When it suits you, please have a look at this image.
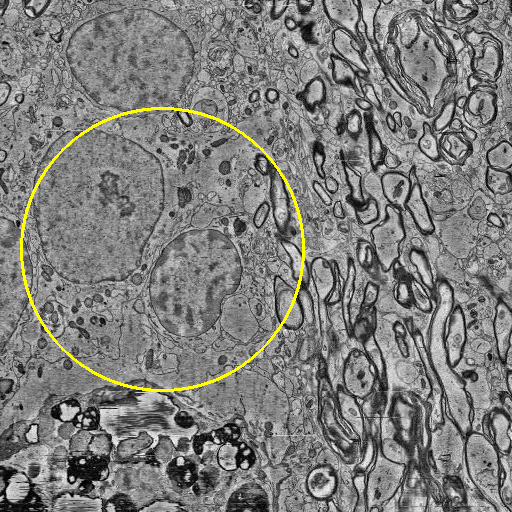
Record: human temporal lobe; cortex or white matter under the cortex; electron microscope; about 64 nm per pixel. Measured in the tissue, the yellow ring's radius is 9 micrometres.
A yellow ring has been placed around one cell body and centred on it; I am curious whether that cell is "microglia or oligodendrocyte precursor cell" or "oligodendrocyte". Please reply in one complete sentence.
The ringed cell, a microglial cell or oligodendrocyte precursor cell, has its body at the centre of the yellow ring.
